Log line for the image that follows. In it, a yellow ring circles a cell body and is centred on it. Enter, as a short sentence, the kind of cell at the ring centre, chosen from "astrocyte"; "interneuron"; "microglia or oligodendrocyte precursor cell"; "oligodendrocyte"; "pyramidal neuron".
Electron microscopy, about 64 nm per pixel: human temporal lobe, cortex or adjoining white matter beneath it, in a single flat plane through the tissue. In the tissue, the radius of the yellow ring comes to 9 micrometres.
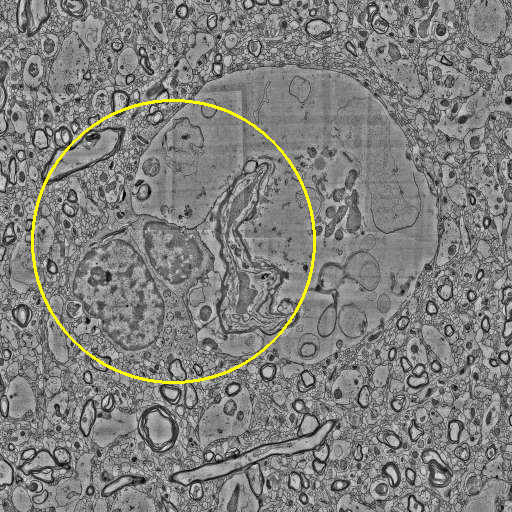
The ring centre is occupied by an oligodendrocyte.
